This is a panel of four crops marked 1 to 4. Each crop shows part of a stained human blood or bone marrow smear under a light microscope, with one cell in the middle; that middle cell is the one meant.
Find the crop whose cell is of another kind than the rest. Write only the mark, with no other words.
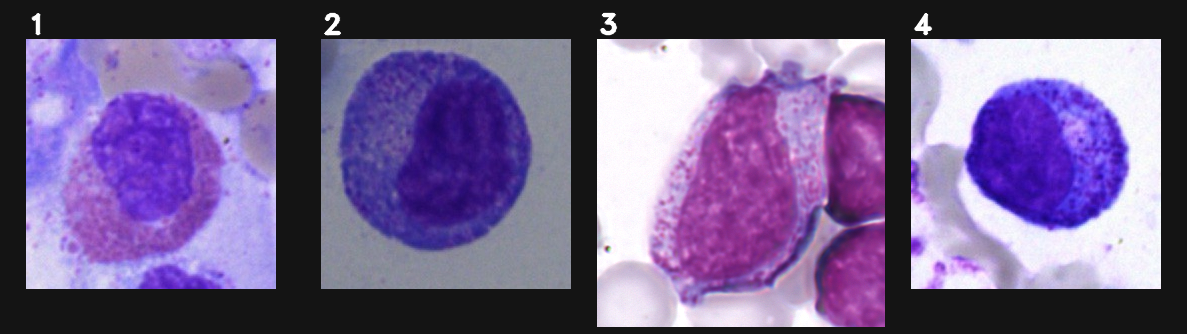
1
